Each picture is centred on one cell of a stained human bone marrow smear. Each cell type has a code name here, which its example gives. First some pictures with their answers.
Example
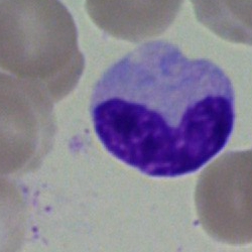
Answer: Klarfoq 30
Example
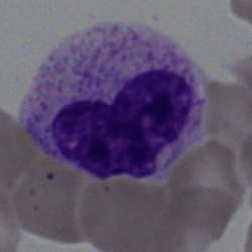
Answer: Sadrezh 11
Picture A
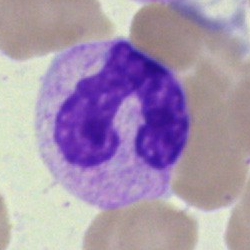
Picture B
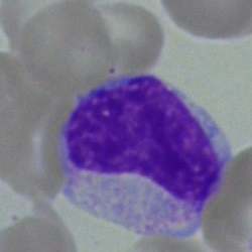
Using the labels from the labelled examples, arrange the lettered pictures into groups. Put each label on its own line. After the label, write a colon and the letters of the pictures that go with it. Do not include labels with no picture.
Klarfoq 30: A
Sadrezh 11: B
